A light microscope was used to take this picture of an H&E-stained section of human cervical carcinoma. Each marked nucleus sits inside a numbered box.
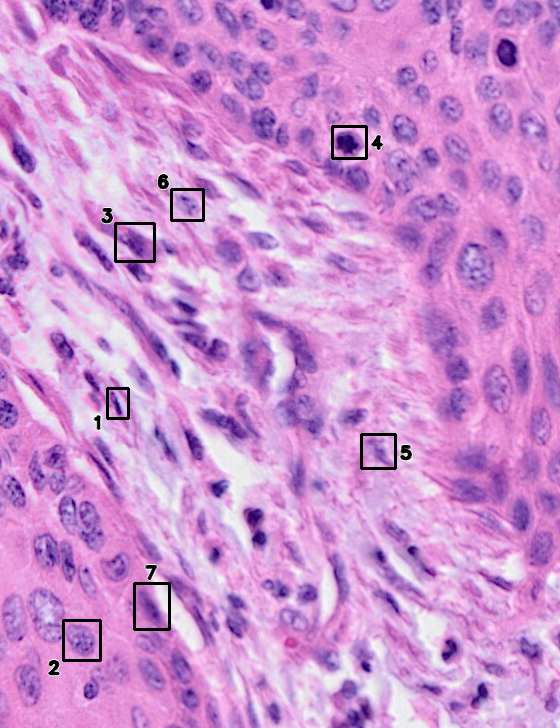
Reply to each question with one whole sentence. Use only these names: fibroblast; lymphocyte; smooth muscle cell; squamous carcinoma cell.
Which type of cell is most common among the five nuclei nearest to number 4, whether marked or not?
The majority of the five nuclei closest to number 4 belong to squamous carcinoma cells.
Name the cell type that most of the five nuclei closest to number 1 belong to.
The majority of the five nuclei closest to number 1 belong to fibroblasts.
